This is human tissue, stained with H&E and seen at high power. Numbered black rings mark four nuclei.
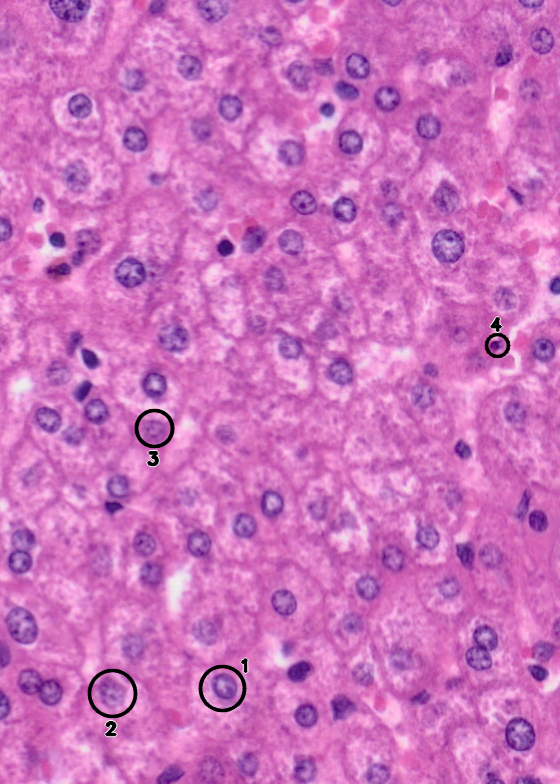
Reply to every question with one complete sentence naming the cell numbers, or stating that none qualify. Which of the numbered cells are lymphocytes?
Among the numbered nuclei, only the one labelled 4 belongs to a lymphocyte.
